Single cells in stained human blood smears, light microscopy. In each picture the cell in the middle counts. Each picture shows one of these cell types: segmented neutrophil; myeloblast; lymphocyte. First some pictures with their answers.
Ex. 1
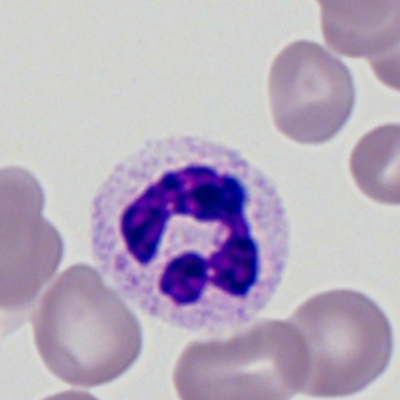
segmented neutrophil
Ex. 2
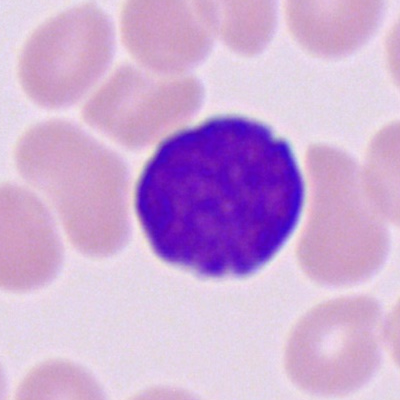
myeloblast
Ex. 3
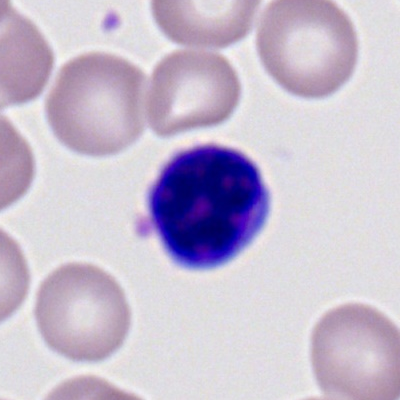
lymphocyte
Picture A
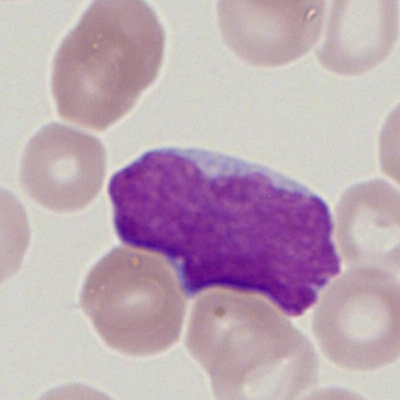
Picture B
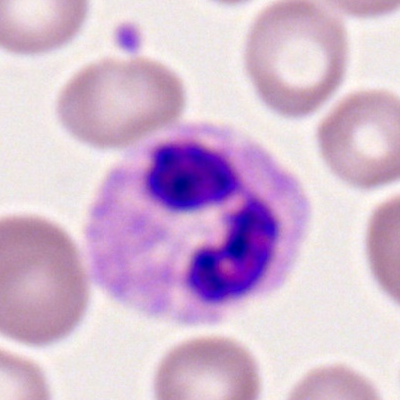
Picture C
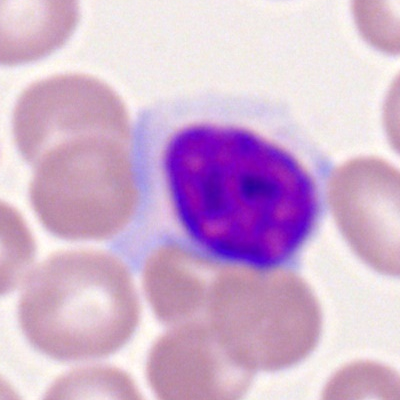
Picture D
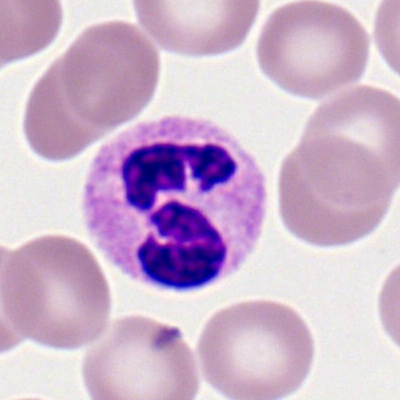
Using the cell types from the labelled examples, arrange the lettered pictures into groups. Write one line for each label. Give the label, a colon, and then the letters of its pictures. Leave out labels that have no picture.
segmented neutrophil: B, D
myeloblast: A
lymphocyte: C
